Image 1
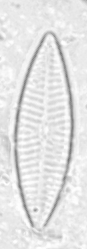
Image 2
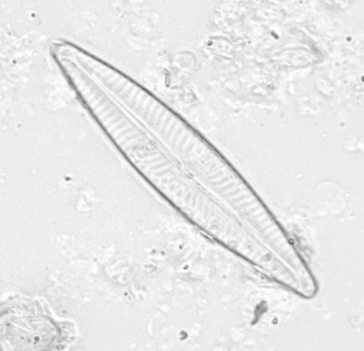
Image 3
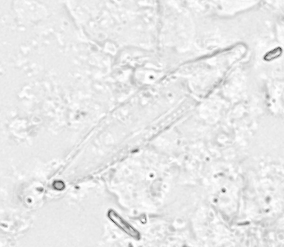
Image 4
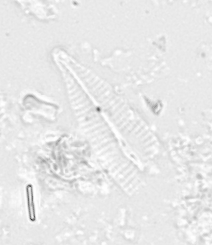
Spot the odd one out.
Picture 3 (Nitzschia among Navicula).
